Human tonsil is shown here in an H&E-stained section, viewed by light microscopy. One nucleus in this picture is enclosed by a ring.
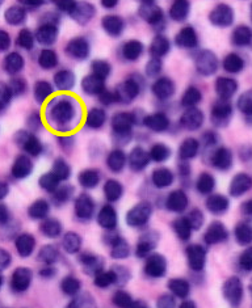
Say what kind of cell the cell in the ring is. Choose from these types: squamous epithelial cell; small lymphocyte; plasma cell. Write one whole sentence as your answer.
This is a small lymphocyte.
